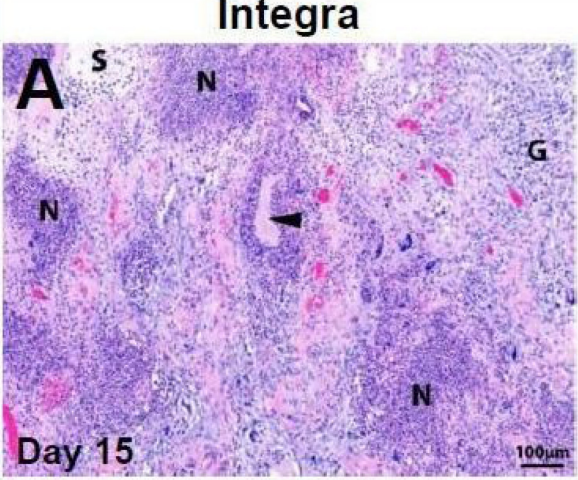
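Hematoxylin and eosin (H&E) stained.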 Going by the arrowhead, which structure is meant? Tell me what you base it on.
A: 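The arrowhead points to a pale pink band with few nuclei. The band is rimmed by densely packed purple nuclei.
Wound matrix material.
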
